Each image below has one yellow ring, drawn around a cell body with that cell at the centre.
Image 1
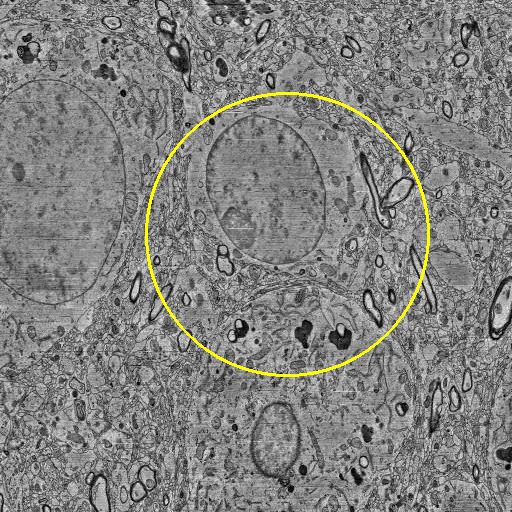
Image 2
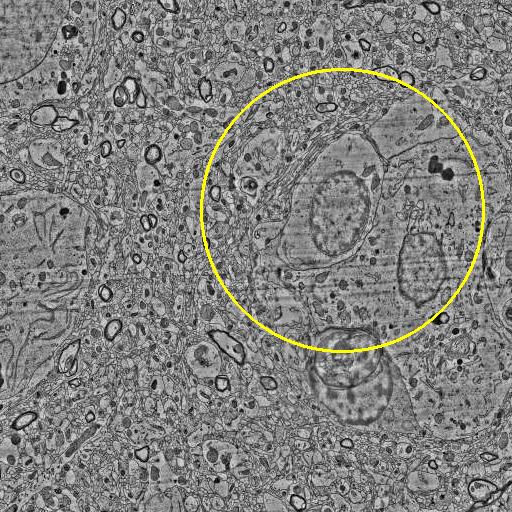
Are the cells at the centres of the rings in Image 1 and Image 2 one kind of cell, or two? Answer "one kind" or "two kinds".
one kind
